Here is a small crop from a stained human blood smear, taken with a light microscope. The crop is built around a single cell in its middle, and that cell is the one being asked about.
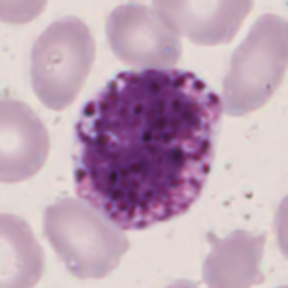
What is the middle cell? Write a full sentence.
Within this crop, a basophil occupies the central position.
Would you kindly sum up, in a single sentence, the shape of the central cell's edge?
Expected answer: a smooth cell outline without projections of any sort.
